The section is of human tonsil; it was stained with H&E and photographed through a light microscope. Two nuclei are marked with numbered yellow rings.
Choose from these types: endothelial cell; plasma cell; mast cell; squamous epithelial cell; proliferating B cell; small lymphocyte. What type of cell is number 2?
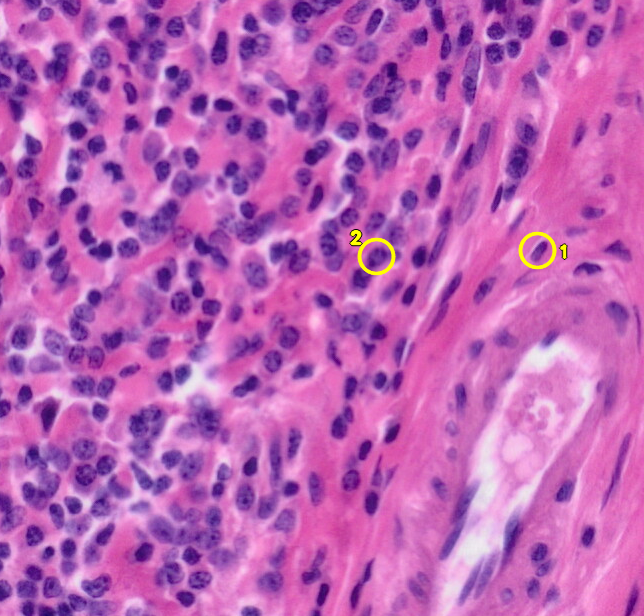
plasma cell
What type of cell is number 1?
mast cell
